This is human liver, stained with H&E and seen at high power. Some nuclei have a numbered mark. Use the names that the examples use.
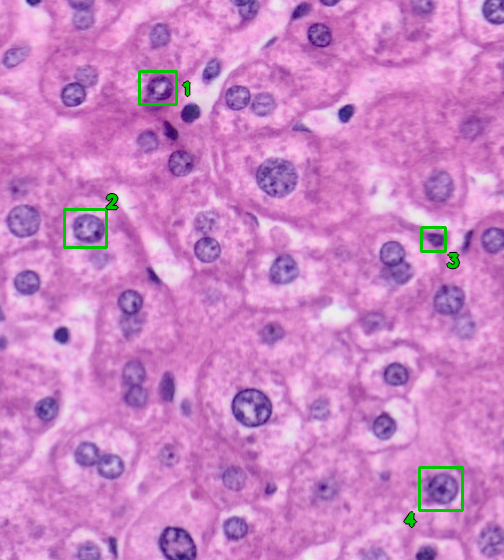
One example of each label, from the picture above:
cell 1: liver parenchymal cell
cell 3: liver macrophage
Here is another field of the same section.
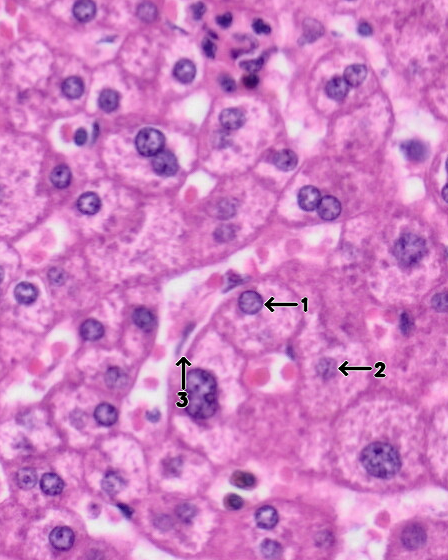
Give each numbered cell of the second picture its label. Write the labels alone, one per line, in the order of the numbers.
liver parenchymal cell
liver parenchymal cell
liver macrophage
